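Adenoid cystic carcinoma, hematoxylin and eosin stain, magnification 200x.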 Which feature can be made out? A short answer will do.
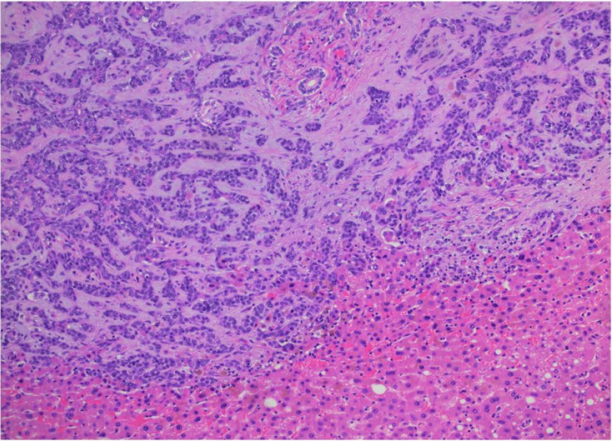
Tubular.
